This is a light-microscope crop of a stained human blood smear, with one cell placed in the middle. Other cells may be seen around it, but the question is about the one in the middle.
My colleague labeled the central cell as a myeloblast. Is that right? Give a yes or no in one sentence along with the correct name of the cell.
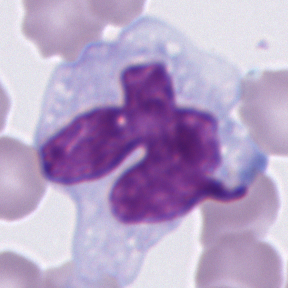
No, the cell at the center of this crop is a monocyte instead of a myeloblast.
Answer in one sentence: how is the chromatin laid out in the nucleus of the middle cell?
Answer: the chromatin is fine and has no coarse clumps.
